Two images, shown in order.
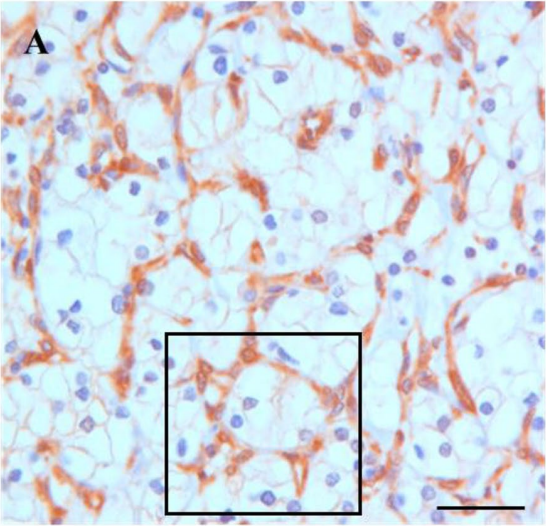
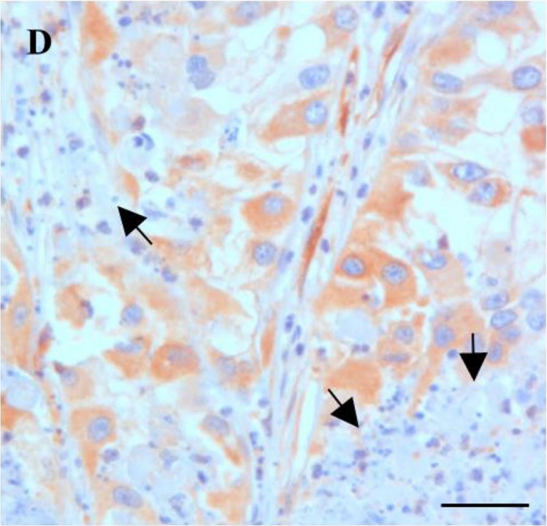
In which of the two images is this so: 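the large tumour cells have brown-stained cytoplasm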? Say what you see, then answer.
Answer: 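The second image. Second image: many large polygonal cells have diffusely brown cytoplasm. First image: the large cells are clear and unstained, brown only in slender cells between them.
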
